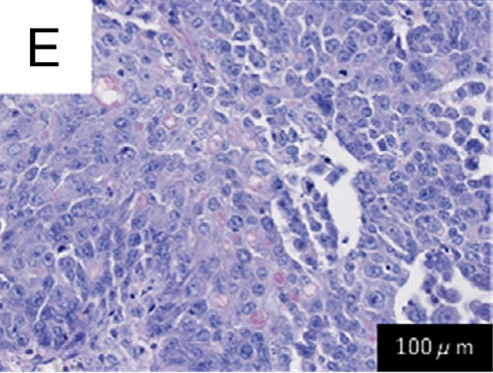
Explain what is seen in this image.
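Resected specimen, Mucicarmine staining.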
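These are sheets of tumour cells with blue-purple nuclei and pale bluish cytoplasm, packed closely together. The great majority of the cells show no such pink material. A few small clear spaces lie among the cells.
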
